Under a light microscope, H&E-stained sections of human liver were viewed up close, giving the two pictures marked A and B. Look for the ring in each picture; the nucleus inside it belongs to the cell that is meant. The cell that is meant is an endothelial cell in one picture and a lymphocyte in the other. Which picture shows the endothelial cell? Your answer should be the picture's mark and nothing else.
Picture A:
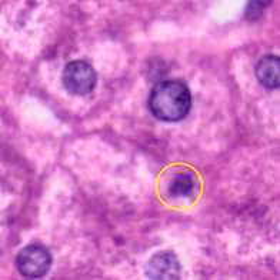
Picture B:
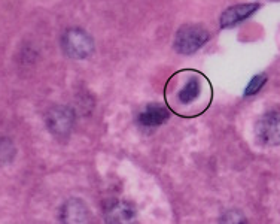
A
